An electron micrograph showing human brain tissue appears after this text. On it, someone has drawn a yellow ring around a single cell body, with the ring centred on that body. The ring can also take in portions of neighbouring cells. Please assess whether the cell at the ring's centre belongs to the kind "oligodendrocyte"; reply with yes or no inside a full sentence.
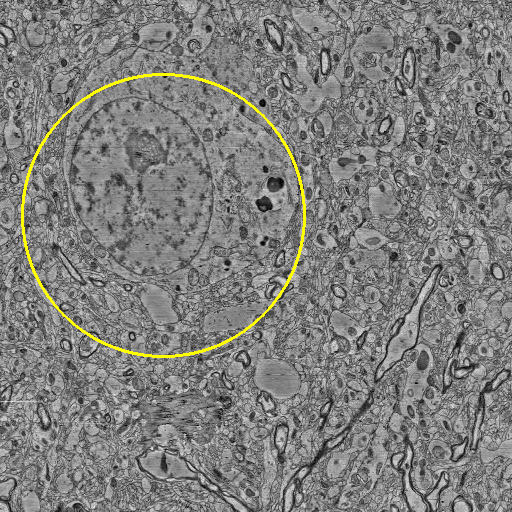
No, in this micrograph the cell at the centre of the ring is of another kind.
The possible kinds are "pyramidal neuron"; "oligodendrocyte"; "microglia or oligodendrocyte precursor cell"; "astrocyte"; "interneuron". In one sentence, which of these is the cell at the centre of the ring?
The cell marked by the ring is a pyramidal neuron.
